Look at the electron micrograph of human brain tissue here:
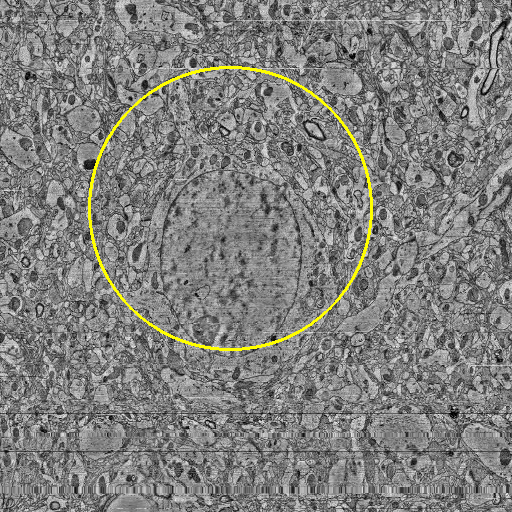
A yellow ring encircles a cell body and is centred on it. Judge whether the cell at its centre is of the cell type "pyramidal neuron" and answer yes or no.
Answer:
yes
